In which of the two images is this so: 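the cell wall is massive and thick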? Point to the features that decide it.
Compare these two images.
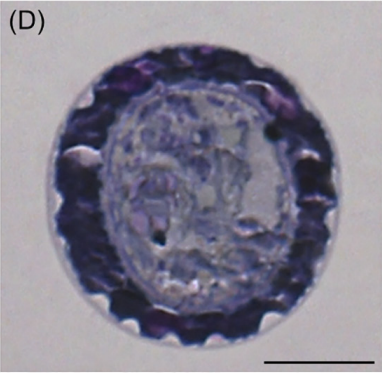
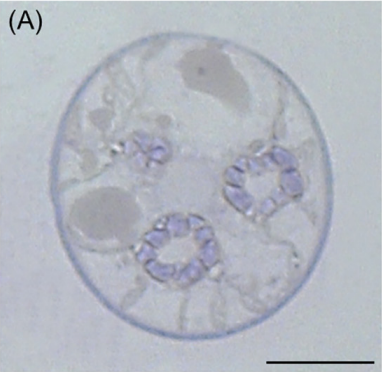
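First image: a broad, dark purple wall layer surrounds the cell contents. Second image: only a thin, pale blue line bounds the cell. On this evidence: the first image.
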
